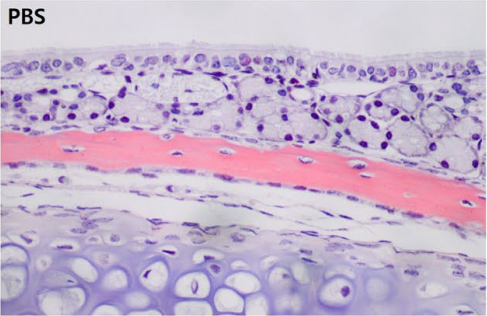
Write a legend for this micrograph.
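Nasal mucosa with a ciliated columnar surface epithelium overlying connective tissue that holds clusters of pale glandular acini with small dark nuclei. Bright red-granulated cells are essentially absent. Below lies a smooth pink band of bone and, at the bottom, pale purple cartilage with large rounded lacunae.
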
